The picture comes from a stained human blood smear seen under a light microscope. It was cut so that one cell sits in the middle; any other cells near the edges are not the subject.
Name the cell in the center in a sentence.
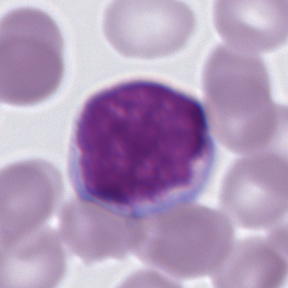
Centred in the crop is a large granular lymphocyte.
